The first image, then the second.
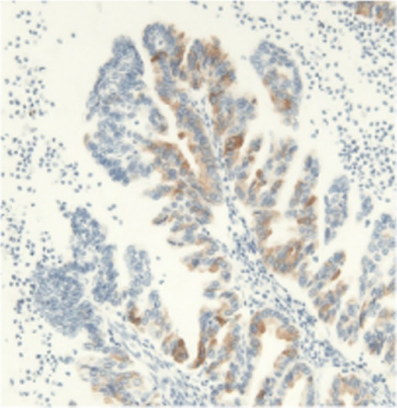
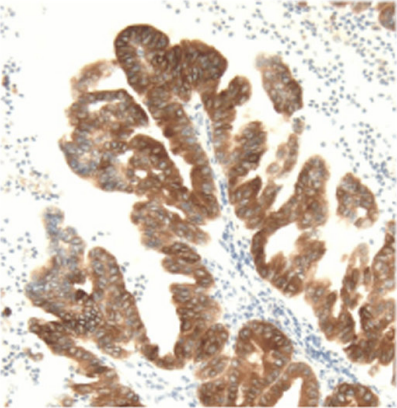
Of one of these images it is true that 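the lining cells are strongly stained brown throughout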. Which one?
The second image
